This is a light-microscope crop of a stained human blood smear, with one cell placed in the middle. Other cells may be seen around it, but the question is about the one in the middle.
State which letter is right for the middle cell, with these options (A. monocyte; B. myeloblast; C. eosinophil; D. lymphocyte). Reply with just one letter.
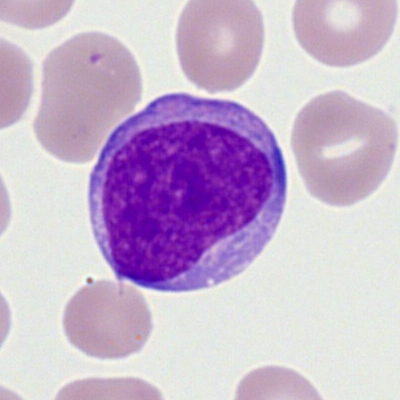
B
